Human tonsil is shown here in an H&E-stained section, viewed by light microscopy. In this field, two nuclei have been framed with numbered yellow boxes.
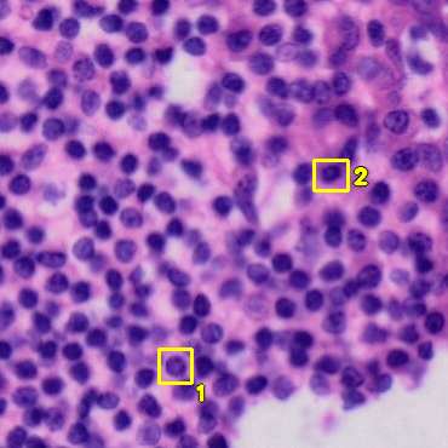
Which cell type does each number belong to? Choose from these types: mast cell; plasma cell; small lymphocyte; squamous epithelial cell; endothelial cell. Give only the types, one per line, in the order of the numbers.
small lymphocyte
plasma cell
